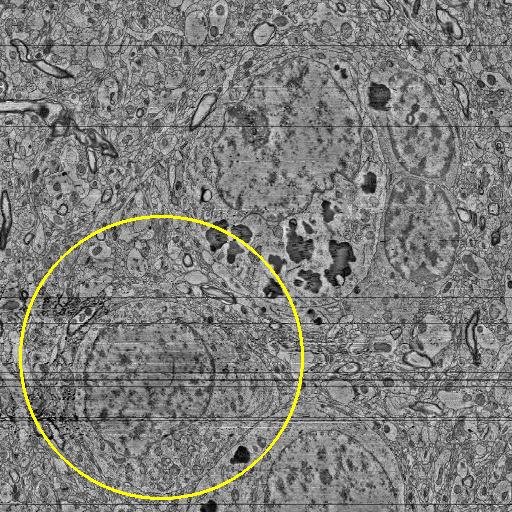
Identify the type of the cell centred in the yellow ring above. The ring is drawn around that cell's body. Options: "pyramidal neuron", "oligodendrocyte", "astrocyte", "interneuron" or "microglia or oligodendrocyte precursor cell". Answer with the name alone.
interneuron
